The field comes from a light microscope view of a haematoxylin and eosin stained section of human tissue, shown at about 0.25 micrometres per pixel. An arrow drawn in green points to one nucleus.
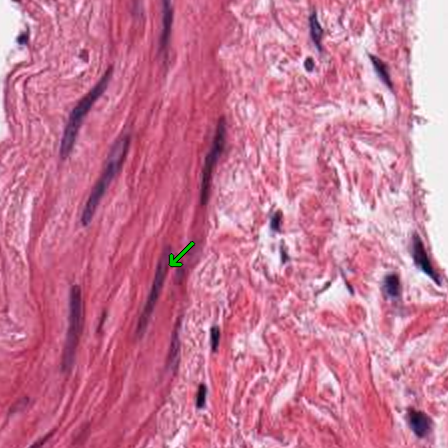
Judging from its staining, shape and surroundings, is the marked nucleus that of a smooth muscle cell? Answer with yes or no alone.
yes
